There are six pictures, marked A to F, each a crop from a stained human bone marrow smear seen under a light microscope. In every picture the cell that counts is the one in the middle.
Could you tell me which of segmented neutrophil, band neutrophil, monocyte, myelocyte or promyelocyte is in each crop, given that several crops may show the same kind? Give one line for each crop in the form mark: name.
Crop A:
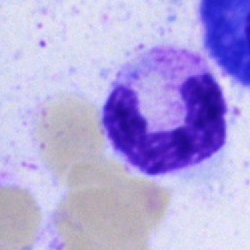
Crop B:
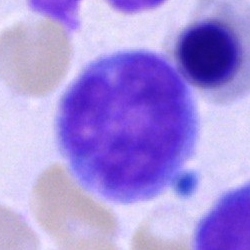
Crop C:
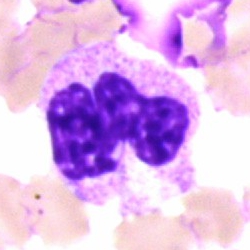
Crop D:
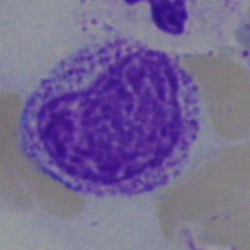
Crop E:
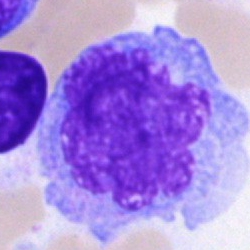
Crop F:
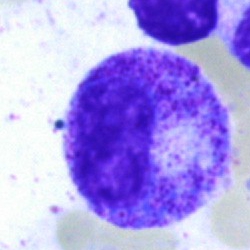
A: band neutrophil
B: monocyte
C: segmented neutrophil
D: myelocyte
E: monocyte
F: myelocyte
